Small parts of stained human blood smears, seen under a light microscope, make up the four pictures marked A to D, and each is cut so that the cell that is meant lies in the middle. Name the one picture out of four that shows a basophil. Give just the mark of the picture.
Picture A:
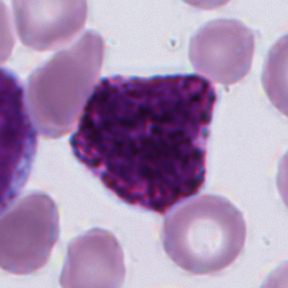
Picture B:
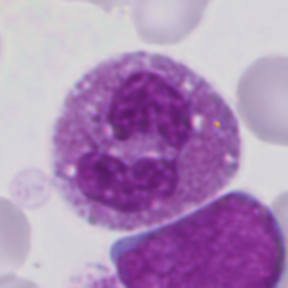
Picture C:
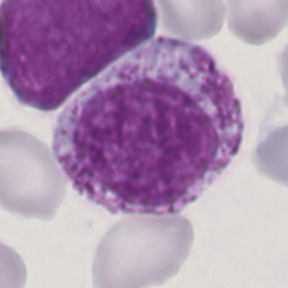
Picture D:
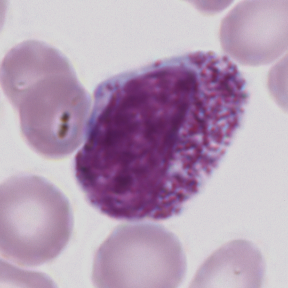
A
